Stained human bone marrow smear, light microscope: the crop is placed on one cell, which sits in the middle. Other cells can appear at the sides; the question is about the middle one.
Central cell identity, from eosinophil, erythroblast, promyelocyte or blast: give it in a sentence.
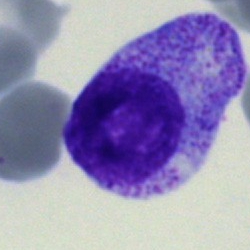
The middle of this crop is occupied by a promyelocyte.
